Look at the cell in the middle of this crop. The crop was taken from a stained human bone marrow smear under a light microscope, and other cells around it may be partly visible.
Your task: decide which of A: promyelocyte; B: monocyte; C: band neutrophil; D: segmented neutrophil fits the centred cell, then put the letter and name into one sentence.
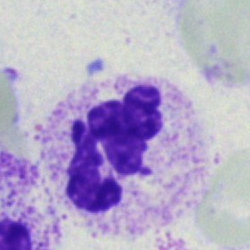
This one is option D, since the cell at the center is a segmented neutrophil.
